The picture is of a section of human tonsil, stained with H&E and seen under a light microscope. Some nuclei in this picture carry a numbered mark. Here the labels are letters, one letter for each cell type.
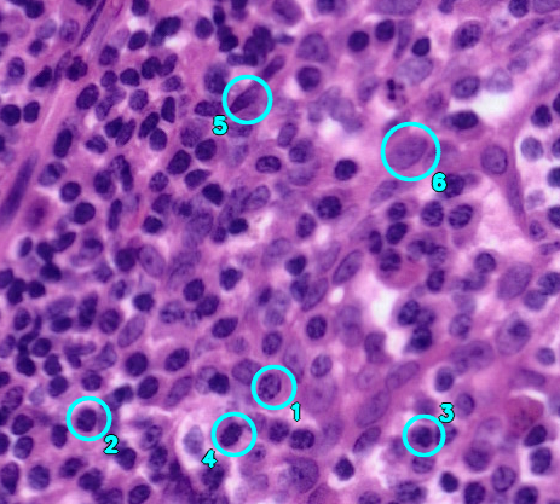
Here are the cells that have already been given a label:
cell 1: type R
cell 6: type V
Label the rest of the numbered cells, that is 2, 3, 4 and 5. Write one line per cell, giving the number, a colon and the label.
2: type R
3: type R
4: type R
5: type V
